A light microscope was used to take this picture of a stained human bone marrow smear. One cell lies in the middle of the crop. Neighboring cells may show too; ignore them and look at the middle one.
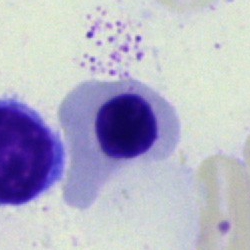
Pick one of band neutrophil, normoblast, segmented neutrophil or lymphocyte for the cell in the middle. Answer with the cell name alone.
normoblast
